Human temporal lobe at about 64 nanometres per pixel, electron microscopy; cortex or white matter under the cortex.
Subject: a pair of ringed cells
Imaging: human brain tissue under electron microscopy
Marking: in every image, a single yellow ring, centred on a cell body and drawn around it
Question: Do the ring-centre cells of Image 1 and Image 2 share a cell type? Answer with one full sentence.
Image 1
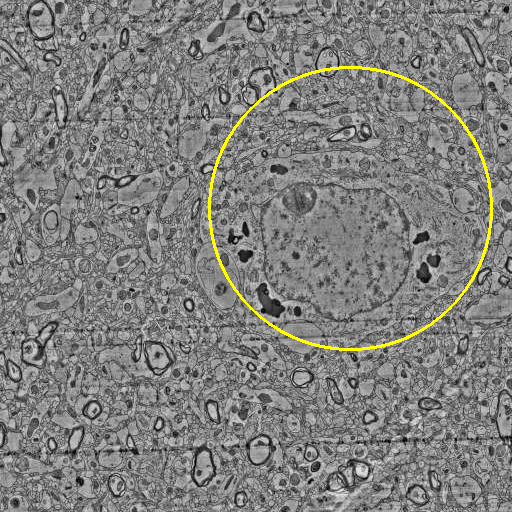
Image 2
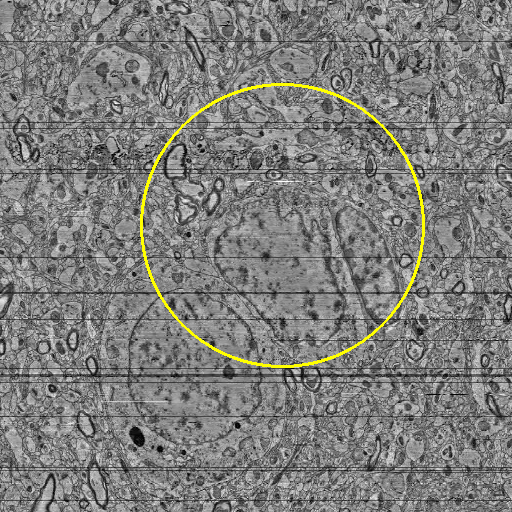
Yes, at each ring's centre in the images sits a cell of one common type.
